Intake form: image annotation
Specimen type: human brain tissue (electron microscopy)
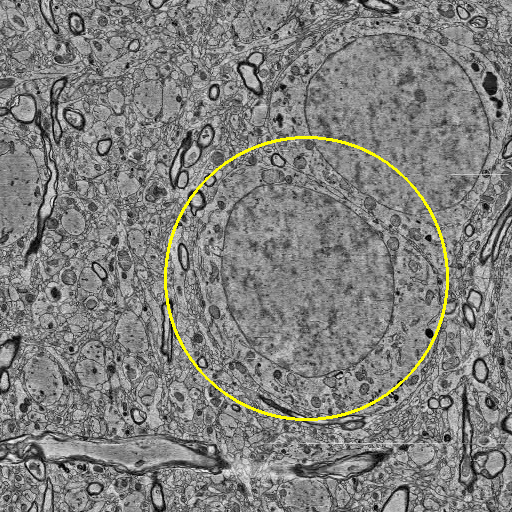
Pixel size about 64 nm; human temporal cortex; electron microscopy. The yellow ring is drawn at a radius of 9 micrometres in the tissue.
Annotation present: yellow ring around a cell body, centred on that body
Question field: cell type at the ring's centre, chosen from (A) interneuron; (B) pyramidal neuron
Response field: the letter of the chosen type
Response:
A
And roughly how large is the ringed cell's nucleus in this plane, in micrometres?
The nucleus is approximately 13 micrometers long by 11 micrometers wide in this plane.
